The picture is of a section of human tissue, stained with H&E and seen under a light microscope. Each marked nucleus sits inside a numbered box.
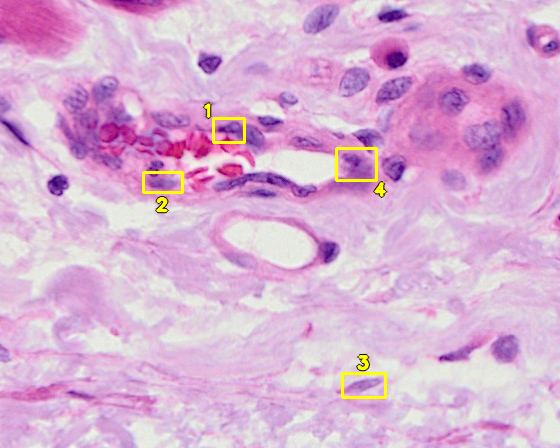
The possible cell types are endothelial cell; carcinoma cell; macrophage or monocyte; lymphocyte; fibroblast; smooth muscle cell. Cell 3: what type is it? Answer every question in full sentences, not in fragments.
To a fibroblast belongs the nucleus marked 3.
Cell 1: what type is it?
The cell pointed out as number 1 is an endothelial cell.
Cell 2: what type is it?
In the tissue shown, cell 2 is an endothelial cell.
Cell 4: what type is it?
Within this field of view, the cell labelled 4 is an endothelial cell.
